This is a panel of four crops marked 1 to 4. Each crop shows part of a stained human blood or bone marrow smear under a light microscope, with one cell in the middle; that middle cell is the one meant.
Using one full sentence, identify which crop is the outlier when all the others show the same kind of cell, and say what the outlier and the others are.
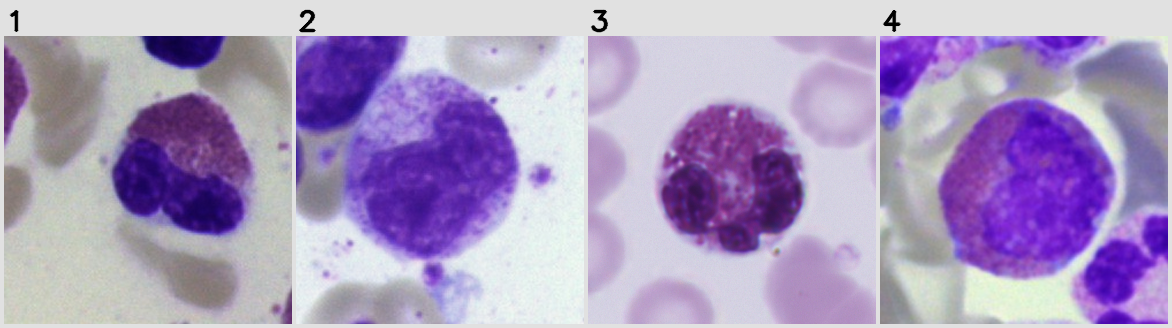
The single exception is crop 2, which is a metamyelocyte; all other crops show eosinophils.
